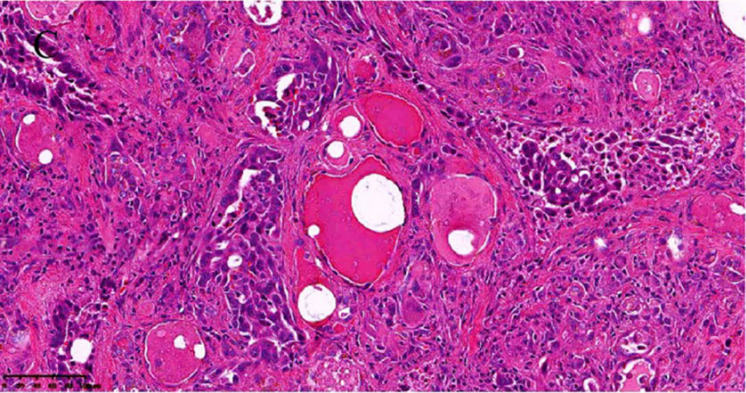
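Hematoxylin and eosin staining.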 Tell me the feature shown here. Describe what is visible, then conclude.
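Round spaces filled with homogeneous pink material. Some of the pink material has clear round vacuoles. Sheets and nests of crowded cells lie between these spaces.
Thyroid follicular structure.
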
